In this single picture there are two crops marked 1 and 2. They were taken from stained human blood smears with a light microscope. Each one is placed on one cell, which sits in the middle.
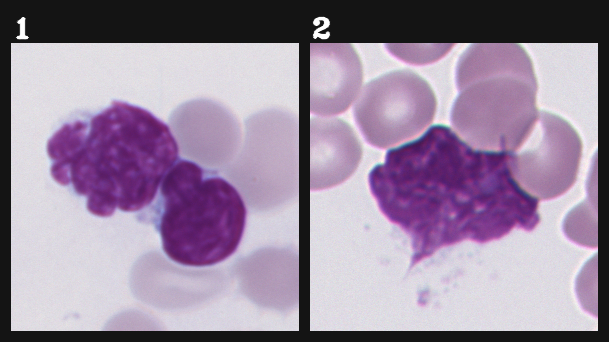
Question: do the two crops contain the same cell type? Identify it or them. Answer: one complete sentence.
No, on this set crop 1 shows a myeloblast and crop 2 shows a smudge cell.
